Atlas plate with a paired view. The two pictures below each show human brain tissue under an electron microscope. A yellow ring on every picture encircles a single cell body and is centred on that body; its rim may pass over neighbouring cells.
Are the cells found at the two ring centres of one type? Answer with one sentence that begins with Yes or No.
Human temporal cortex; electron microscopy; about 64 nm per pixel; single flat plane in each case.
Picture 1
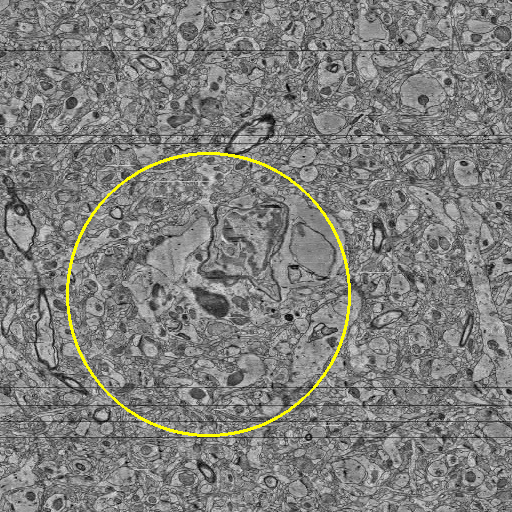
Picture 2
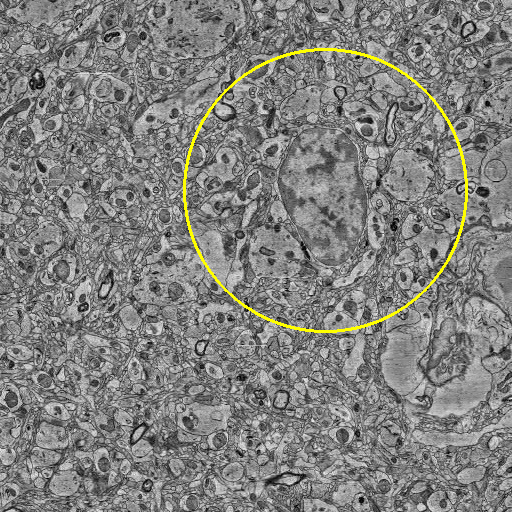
Yes, the two cells lying at the centres of the rings share a single type.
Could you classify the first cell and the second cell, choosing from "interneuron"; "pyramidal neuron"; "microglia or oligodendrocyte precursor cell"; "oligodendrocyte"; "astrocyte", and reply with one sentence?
Each of the two rings surrounds a microglial cell or oligodendrocyte precursor cell.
